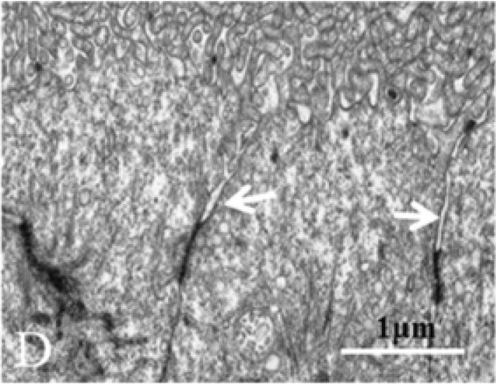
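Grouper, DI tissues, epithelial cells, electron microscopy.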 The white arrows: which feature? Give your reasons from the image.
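Thin membrane lines between adjacent cells below the microvillous border. Dense thickenings along the lines.
Hence: intercellular junctions.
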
